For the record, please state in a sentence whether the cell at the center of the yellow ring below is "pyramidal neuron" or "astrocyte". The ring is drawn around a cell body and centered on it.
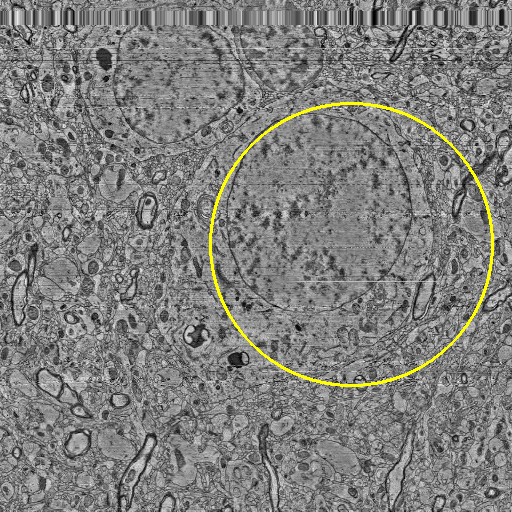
The cell at the ring's center is a pyramidal neuron.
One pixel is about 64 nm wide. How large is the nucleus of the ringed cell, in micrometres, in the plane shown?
In this plane, roughly 14 by 12 micrometres.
